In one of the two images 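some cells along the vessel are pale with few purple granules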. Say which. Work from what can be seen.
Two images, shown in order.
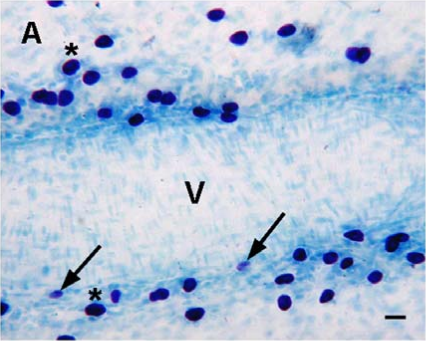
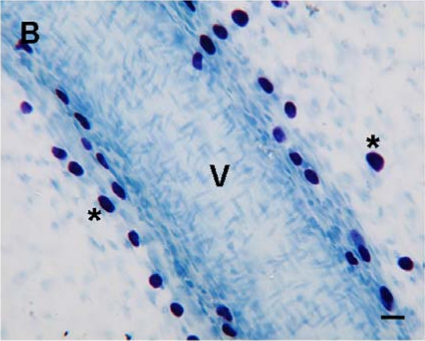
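First image: a few small cells are paler and less densely stained than the others. The answer: the first image.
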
